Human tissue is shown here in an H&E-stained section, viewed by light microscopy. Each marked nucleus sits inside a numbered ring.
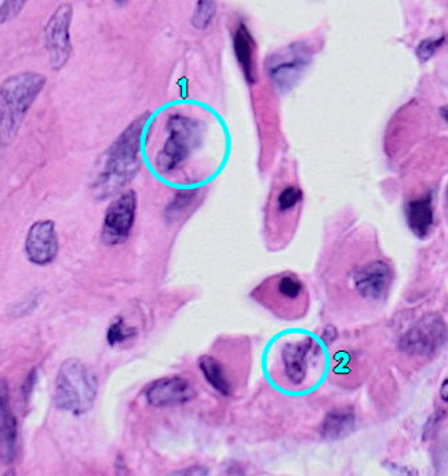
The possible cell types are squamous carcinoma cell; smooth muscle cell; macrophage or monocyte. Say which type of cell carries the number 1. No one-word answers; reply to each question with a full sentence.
Nucleus 1 in this section belongs to a squamous carcinoma cell.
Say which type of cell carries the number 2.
Cell 2, among those numbered, is a macrophage or monocyte.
